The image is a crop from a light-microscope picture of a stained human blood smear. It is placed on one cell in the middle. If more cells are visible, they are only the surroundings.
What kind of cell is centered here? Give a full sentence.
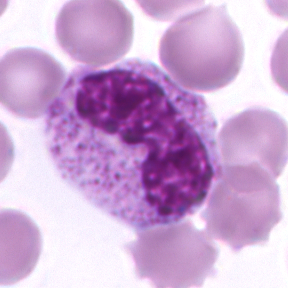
The central cell in this smear crop is a band neutrophil.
